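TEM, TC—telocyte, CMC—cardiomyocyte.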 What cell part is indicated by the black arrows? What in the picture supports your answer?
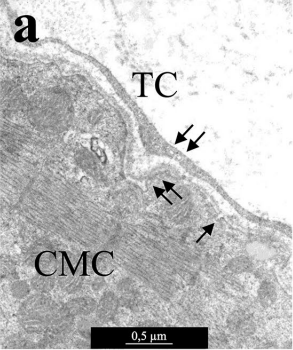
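Caveolae. Small flask-shaped invaginations open onto the plasma membranes. They lie along the boundary between the thin process and the muscle cell.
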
